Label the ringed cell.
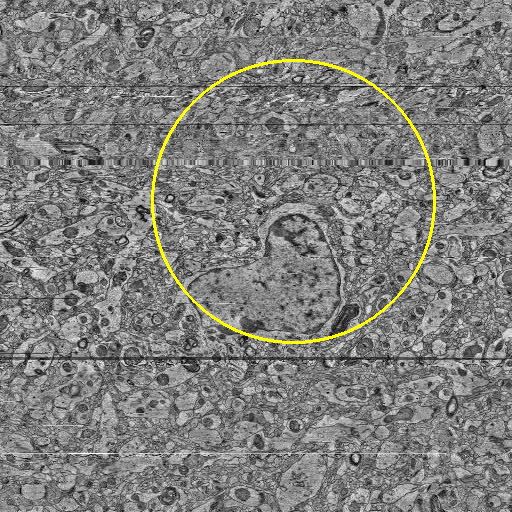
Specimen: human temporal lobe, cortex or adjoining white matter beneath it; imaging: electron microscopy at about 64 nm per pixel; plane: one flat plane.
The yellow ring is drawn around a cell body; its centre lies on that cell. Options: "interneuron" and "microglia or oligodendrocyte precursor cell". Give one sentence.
The ringed cell is a microglial cell or oligodendrocyte precursor cell.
